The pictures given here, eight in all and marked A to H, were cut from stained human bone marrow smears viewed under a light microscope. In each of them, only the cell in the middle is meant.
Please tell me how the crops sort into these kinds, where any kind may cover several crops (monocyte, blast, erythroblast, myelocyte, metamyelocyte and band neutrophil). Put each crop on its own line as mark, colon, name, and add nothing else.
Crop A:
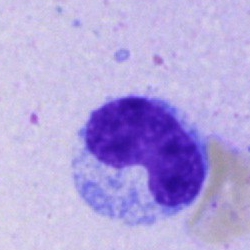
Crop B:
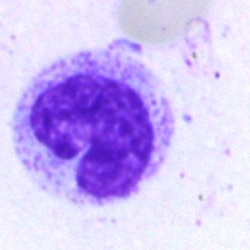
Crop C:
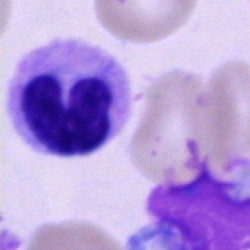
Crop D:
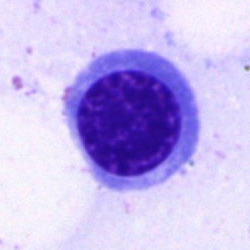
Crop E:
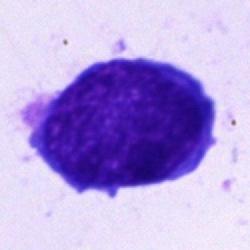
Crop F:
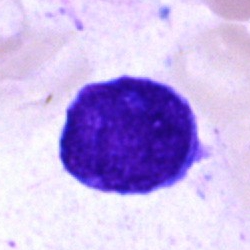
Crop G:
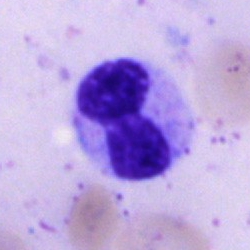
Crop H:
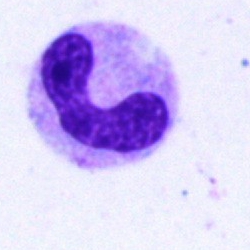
A: metamyelocyte
B: band neutrophil
C: band neutrophil
D: erythroblast
E: blast
F: blast
G: band neutrophil
H: band neutrophil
